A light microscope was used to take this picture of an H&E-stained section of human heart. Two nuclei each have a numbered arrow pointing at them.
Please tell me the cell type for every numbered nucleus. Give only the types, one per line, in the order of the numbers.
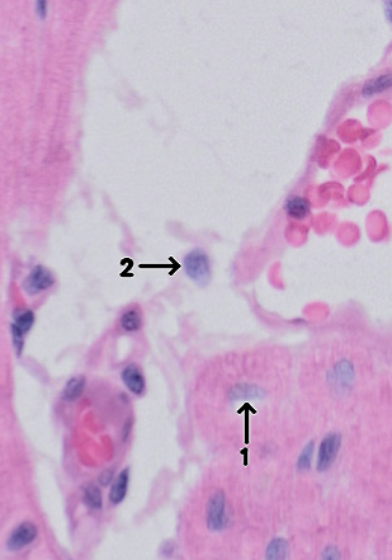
cardiomyocyte
fibroblast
